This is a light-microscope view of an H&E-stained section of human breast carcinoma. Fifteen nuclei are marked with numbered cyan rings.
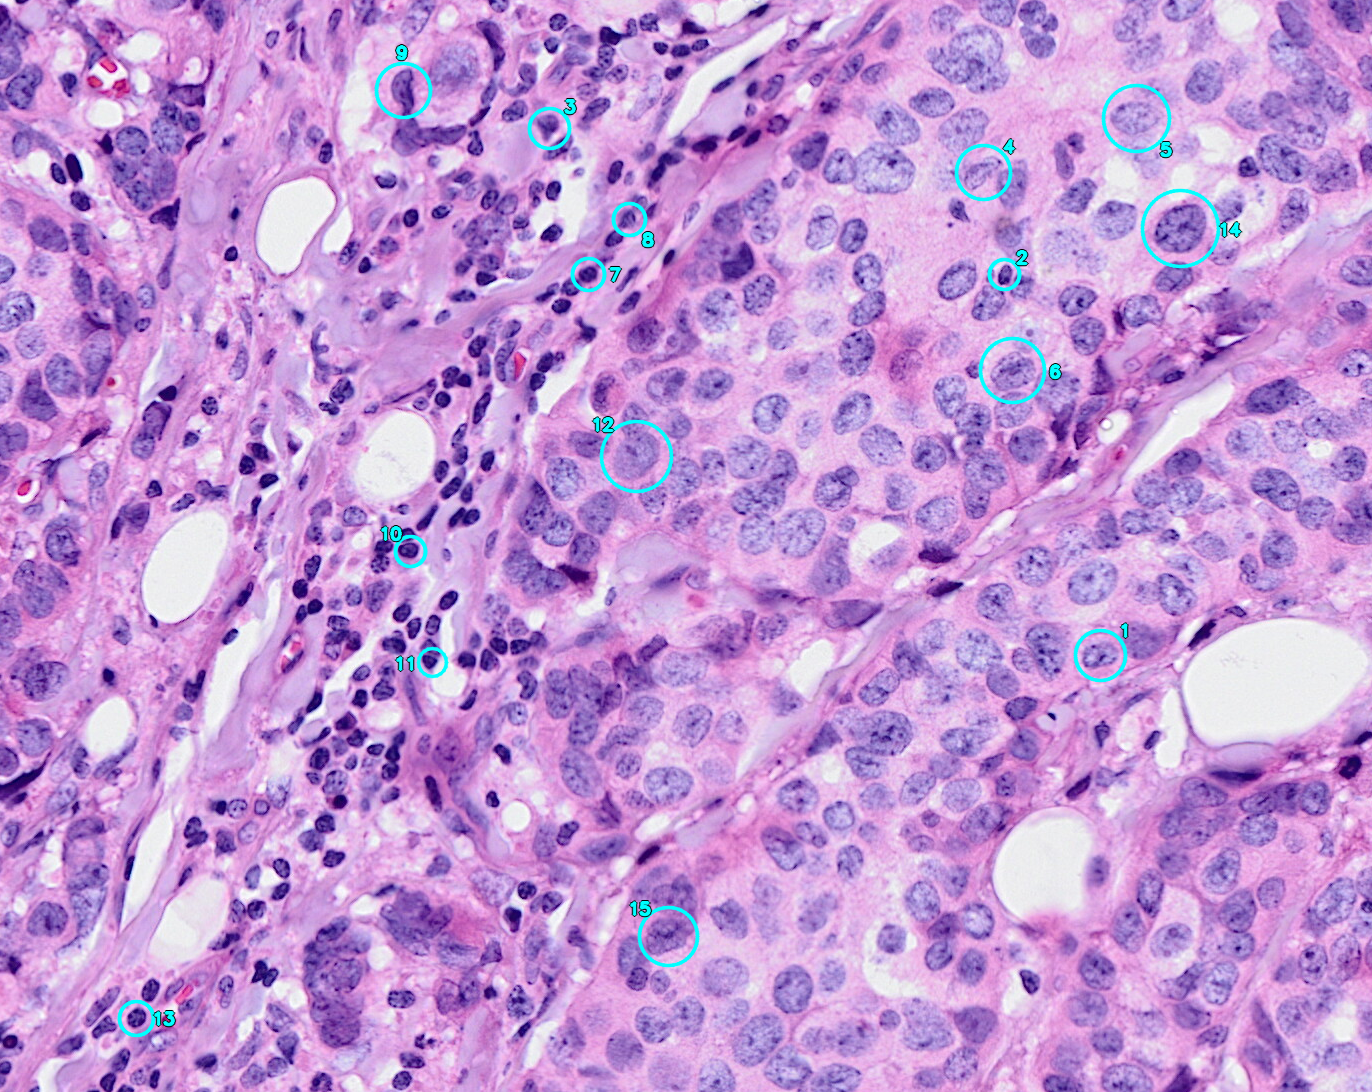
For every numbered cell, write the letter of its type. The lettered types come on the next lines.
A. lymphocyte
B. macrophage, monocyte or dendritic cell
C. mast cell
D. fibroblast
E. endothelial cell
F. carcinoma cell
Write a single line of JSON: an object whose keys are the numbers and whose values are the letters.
{"1": "F", "2": "A", "3": "A", "4": "F", "5": "F", "6": "F", "7": "A", "8": "A", "9": "F", "10": "A", "11": "A", "12": "F", "13": "A", "14": "F", "15": "F"}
